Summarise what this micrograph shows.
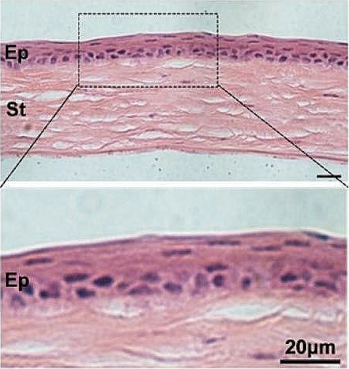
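A cross-section of cornea shows a stratified epithelium of several layers of cells with purple nuclei above a pale pink stroma. The stroma is made of layered lamellae with thin, flat dark nuclei and pale spaces between the layers. In the enlarged view the epithelial cells are orderly, with oval to flattened nuclei becoming flatter toward the smooth surface.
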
